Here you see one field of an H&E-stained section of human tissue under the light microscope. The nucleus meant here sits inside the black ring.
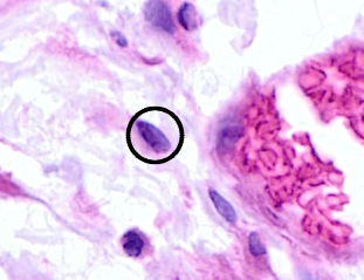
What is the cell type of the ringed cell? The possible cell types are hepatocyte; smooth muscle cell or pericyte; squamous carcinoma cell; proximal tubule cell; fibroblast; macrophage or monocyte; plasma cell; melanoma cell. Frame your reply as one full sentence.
So far as cell type goes, the ringed cell is a fibroblast.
